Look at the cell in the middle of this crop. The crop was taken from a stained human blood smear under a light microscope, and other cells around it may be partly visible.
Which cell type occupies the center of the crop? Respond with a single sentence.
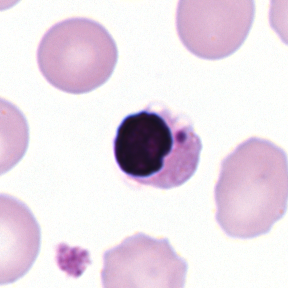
The central element of this crop is a cell, namely an erythroblast.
